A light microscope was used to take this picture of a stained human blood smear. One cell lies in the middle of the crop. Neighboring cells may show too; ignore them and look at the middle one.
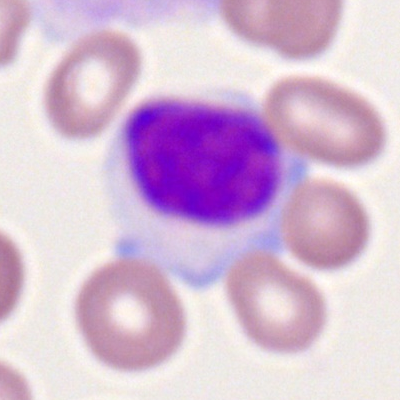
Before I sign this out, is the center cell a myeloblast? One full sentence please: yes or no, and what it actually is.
No, the cell centered in the crop is a lymphocyte, not a myeloblast.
